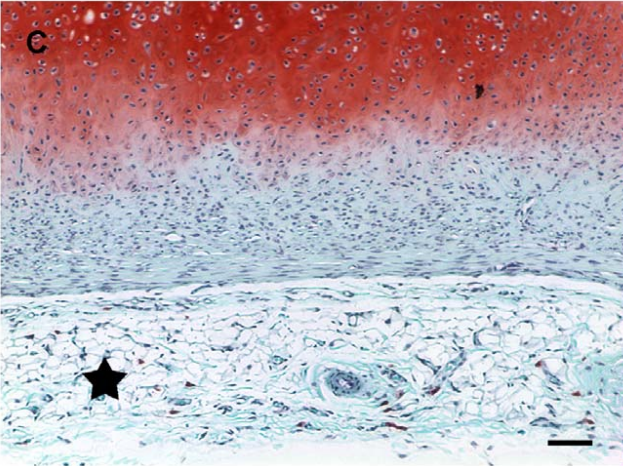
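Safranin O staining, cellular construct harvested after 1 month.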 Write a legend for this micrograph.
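The section shows cartilage deposition above, with rounded chondrocytes in clear spaces within a deep red matrix, passing downward into a paler zone of densely packed cells with less red staining. Beneath lies a thin capsule of spindle-shaped, fibroblast-appearing cells with flattened nuclei in blue-green fibrous tissue, and below that a loose, pale tissue containing a small vessel.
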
